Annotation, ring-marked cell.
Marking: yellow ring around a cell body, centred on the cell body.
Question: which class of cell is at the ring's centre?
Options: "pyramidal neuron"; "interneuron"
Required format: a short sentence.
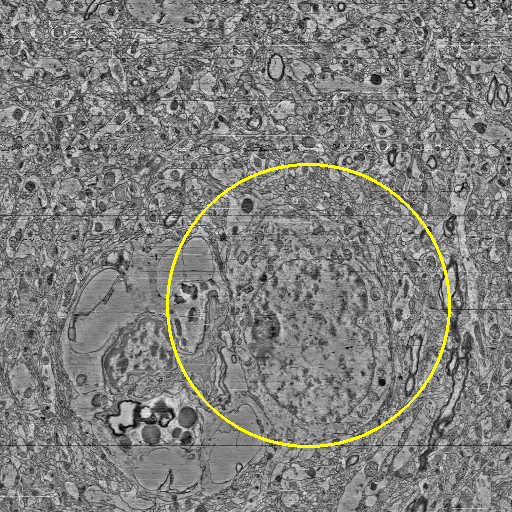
At the ring's centre is an interneuron.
